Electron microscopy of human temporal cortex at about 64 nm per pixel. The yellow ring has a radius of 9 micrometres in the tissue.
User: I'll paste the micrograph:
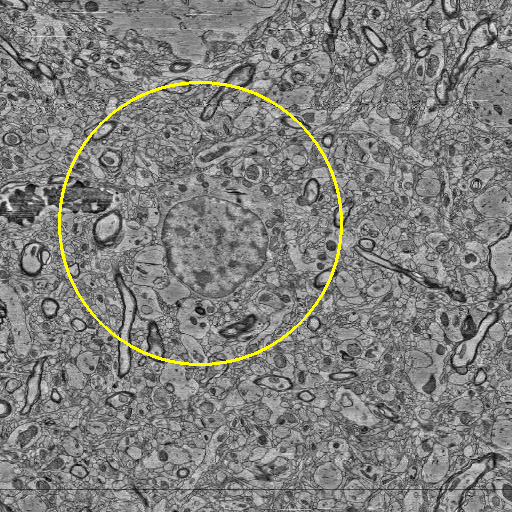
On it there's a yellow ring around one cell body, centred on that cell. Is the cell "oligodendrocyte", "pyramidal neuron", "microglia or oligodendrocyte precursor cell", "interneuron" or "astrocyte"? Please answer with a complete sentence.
The cell ringed in yellow is an oligodendrocyte.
